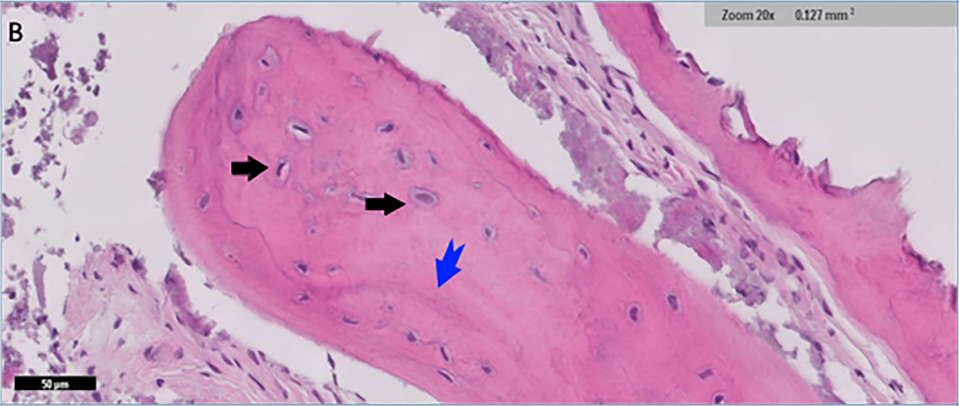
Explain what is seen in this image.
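A thick trabecula of homogenous pink bone runs diagonally across the field and contains scattered osteocytes, each sitting in a small lacuna with a dark nucleus. The matrix is smooth and evenly stained, with faint lamellar lines in places. Around the bone lies a loose fibrous stroma with scattered spindle-shaped nuclei.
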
